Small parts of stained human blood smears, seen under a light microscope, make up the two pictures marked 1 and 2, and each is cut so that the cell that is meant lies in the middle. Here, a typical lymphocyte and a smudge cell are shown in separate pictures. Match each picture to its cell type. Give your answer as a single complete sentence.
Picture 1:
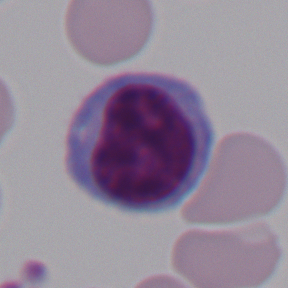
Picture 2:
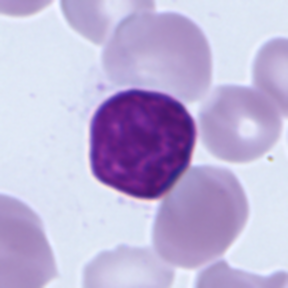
It is picture 1 that shows a typical lymphocyte, and picture 2 that shows a smudge cell.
